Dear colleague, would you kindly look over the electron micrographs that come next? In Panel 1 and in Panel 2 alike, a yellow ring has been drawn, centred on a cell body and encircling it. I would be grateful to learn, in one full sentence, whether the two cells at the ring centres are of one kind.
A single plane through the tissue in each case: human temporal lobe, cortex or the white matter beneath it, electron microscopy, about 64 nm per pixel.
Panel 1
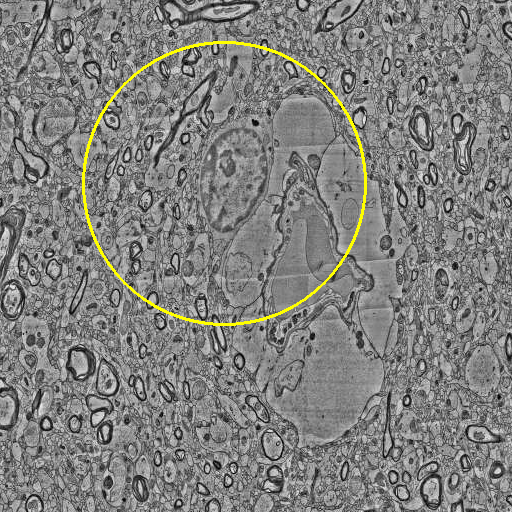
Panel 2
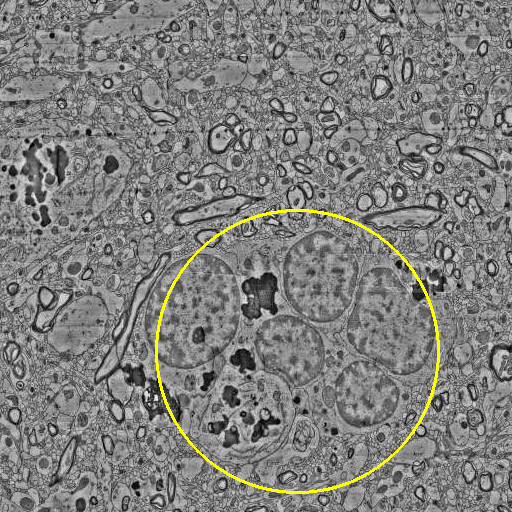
Yes, the cells in the middle of the rings in the two panels are of one kind.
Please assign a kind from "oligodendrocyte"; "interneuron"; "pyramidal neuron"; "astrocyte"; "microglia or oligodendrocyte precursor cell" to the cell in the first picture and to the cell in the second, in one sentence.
Each of the ringed cells, first and second, is an oligodendrocyte.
